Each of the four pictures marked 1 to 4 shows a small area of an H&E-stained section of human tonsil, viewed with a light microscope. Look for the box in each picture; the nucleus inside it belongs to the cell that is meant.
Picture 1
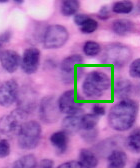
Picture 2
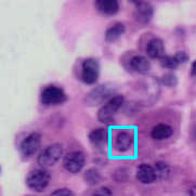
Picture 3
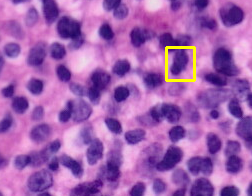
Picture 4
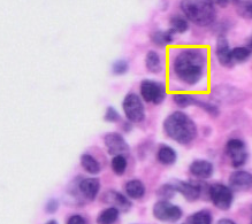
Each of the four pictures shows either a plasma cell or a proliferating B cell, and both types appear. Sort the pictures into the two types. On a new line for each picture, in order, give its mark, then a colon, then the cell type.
1: proliferating B cell
2: plasma cell
3: proliferating B cell
4: proliferating B cell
